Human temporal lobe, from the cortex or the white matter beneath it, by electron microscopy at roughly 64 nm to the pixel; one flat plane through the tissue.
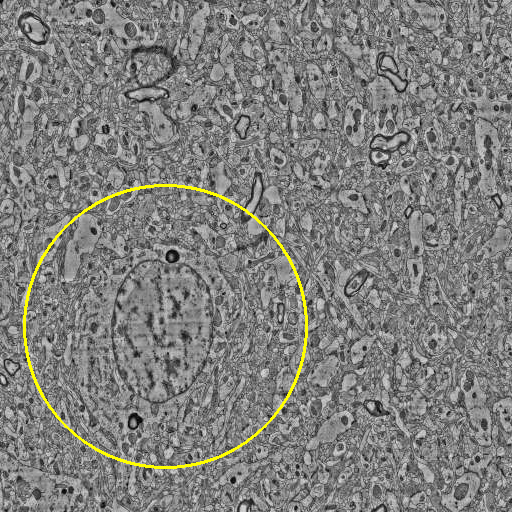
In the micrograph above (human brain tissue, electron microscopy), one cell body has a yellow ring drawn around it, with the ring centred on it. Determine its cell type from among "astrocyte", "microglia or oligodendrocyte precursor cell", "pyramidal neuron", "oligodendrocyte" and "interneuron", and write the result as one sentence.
The cell whose body is ringed is a pyramidal neuron.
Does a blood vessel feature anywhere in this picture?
No, the image shows no blood vessel.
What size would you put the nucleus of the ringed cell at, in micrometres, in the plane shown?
The ringed cell's nucleus measures approximately 10 by 7 micrometres in this plane.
